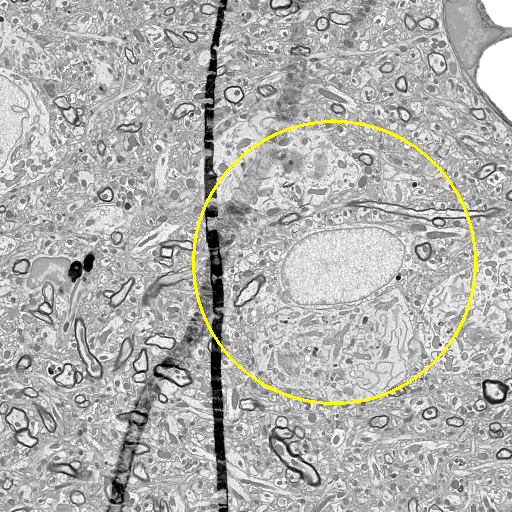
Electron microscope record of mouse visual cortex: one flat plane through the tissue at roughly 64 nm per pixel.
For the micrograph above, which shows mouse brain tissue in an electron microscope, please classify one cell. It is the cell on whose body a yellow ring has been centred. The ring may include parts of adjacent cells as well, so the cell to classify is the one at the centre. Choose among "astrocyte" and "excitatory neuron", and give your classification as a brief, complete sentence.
I classify this cell as an astrocyte.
